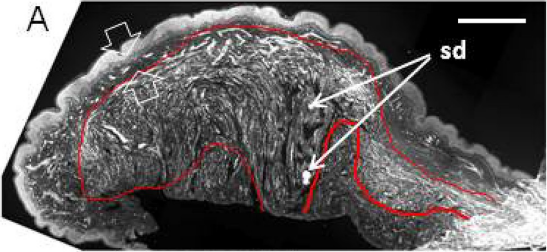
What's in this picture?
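This is a section of skin tissue viewed in grey-scale fluorescence, with a bright, wavy surface epithelium along the top edge and dermis below. A narrow tubular duct is marked, with the fibres appearing to ascend alongside it. The outlined dense zone spreads out beneath, but stays below, the thin band under the epithelium. Outside the outline the dermis shows looser, less brightly fibrous texture. No single cells can be individually resolved.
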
